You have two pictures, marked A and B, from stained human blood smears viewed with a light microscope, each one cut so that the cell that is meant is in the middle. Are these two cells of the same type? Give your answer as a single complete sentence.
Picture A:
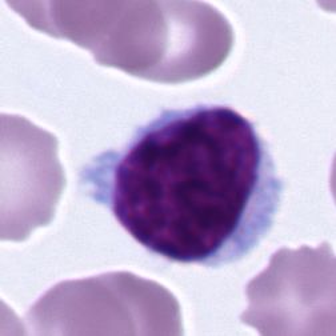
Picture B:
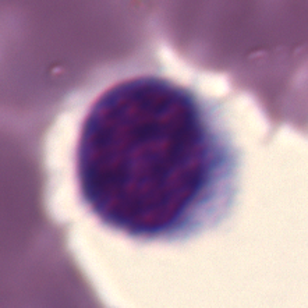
Yes; the cells in both pictures are hairy cells.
